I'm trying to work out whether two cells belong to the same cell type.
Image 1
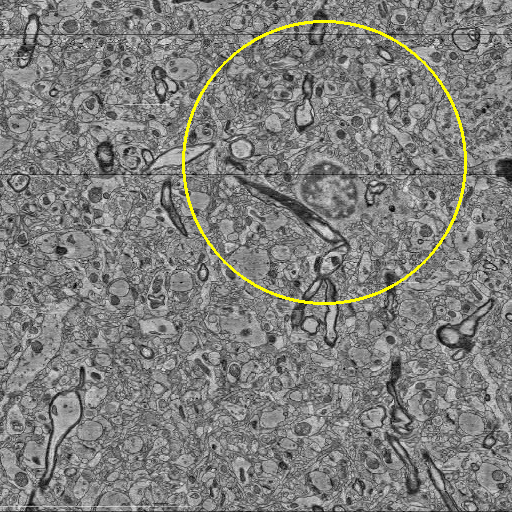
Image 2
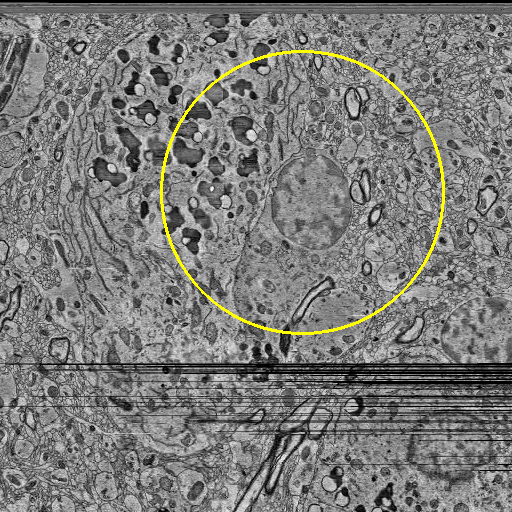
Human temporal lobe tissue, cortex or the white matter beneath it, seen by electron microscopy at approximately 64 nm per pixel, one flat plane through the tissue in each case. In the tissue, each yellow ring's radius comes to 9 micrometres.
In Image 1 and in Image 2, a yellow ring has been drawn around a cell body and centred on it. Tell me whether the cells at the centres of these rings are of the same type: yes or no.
yes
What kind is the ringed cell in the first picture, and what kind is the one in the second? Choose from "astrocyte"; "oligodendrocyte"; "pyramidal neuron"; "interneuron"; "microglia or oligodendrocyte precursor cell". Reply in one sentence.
Each cell at the centre of a ring is an oligodendrocyte.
